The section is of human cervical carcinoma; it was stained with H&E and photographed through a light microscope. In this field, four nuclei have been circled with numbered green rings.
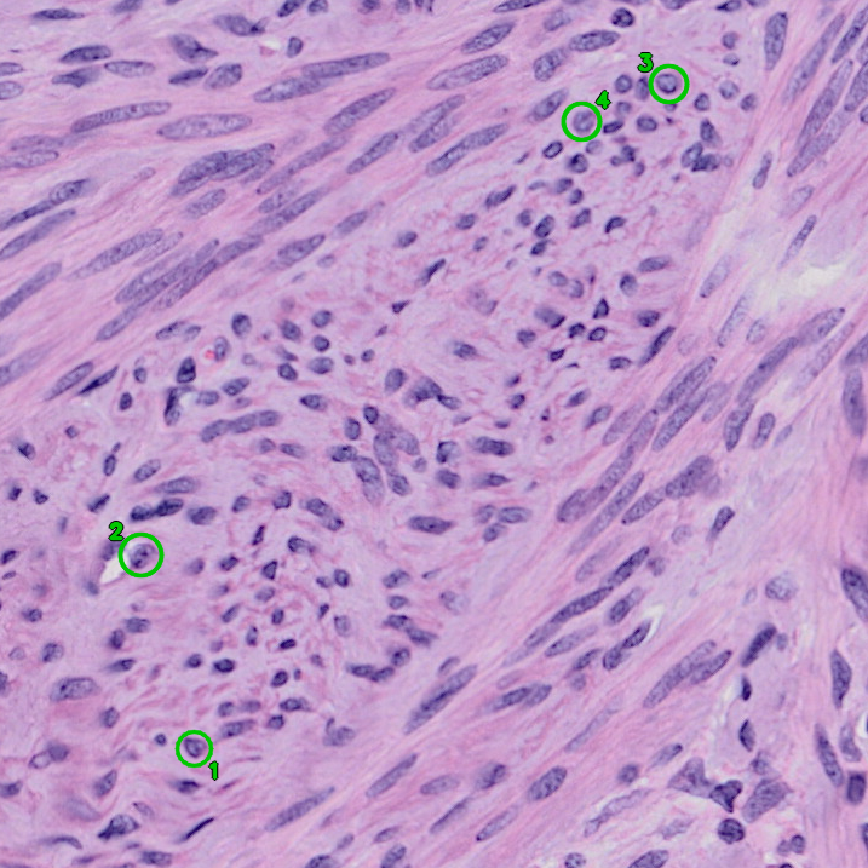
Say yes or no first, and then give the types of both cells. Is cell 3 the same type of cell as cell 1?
Yes, the two cells, 3 and 1, are both smooth muscle cells.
